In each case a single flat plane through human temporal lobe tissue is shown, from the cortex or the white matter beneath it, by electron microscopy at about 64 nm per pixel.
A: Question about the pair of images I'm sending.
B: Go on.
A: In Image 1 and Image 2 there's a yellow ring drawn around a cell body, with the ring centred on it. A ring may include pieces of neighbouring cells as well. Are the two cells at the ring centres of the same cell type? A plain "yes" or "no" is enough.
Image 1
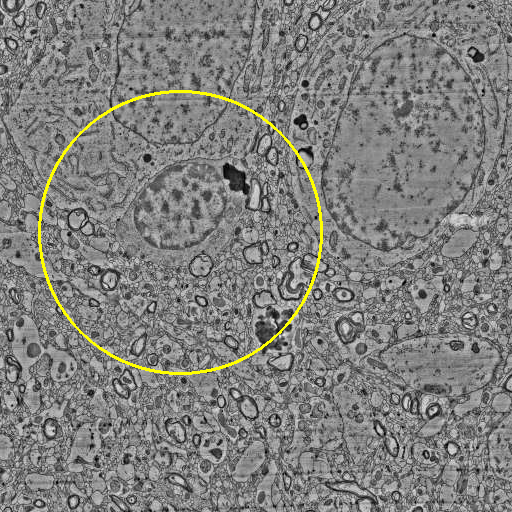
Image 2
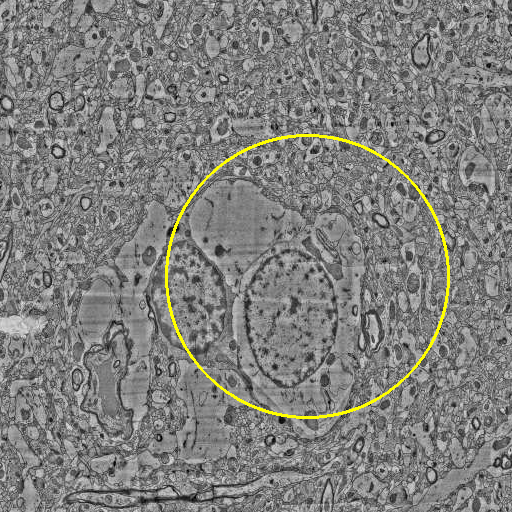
no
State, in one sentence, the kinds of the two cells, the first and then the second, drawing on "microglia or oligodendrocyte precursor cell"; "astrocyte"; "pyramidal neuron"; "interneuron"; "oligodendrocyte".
The ring in the second picture is centred on an astrocyte, the ring in the first on an oligodendrocyte.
